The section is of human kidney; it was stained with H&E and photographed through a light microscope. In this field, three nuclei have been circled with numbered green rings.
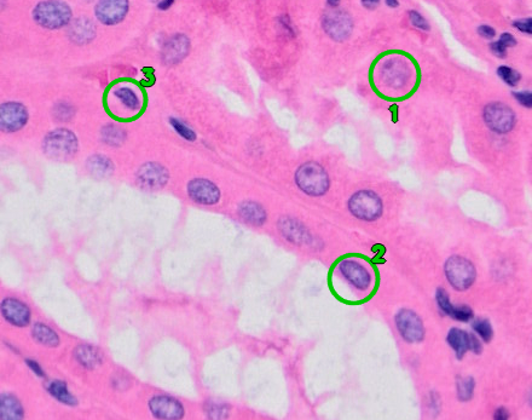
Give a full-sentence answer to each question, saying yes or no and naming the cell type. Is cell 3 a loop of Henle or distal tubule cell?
No, number 3 corresponds to an endothelial cell, not a loop of Henle or distal tubule cell.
